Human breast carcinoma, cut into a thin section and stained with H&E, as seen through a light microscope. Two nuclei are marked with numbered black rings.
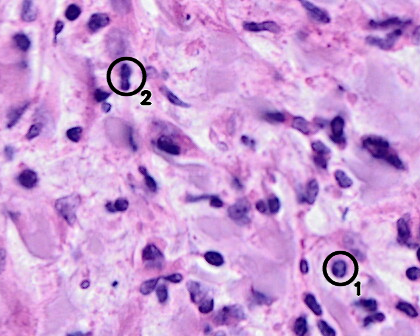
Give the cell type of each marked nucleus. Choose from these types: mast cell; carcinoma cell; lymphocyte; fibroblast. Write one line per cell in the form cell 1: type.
cell 1: mast cell
cell 2: lymphocyte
